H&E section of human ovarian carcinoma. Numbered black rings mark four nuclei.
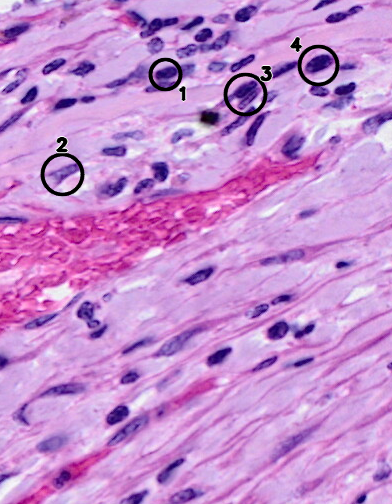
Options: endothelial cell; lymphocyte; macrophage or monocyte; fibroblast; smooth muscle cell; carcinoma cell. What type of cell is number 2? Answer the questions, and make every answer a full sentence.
The one numbered 2 among the marked cells is a fibroblast.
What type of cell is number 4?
In this section, number 4 marks a lymphocyte.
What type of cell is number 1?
The correct answer for cell 1 is a lymphocyte.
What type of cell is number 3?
The expected answer is that cell 3 is a lymphocyte.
